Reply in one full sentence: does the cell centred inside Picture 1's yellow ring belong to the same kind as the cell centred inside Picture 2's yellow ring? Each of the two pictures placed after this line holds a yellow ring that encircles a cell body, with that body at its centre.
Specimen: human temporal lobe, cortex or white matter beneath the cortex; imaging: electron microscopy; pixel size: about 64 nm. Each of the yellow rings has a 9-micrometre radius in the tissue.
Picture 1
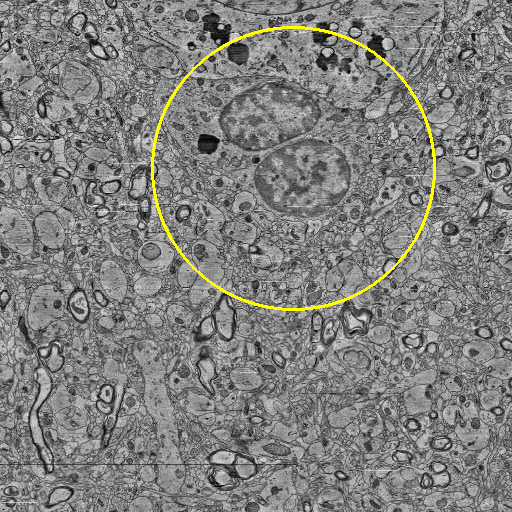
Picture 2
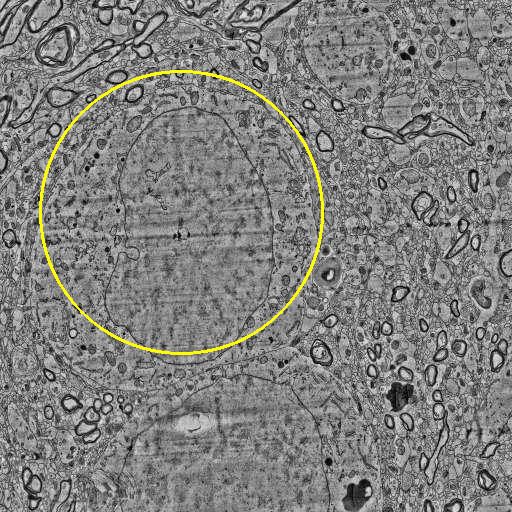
No, the ring-centred cells in Picture 1 and Picture 2 are of two separate kinds.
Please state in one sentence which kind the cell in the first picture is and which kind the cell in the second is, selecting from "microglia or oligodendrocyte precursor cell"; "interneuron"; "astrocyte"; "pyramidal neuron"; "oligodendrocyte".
The first ringed cell is an oligodendrocyte, the second ringed cell a pyramidal neuron.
